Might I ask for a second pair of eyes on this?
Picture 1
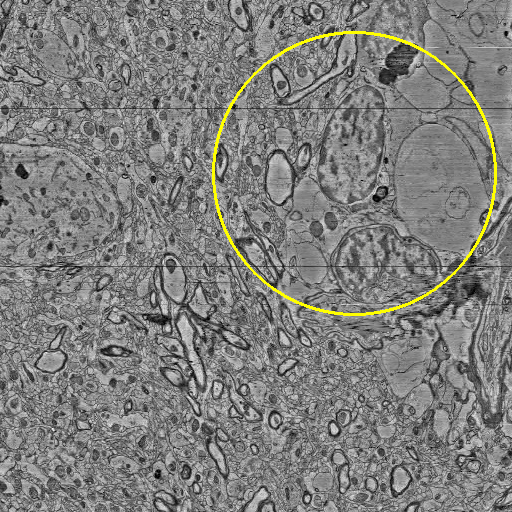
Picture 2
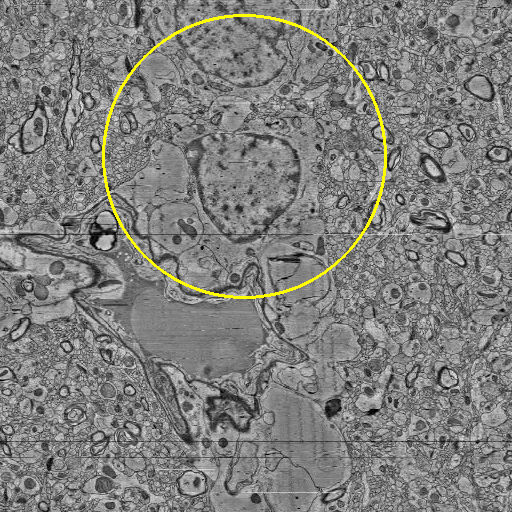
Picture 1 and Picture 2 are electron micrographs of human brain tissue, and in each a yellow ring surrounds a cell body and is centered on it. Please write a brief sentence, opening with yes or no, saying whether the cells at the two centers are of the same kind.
Yes, the cells are of the same kind.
